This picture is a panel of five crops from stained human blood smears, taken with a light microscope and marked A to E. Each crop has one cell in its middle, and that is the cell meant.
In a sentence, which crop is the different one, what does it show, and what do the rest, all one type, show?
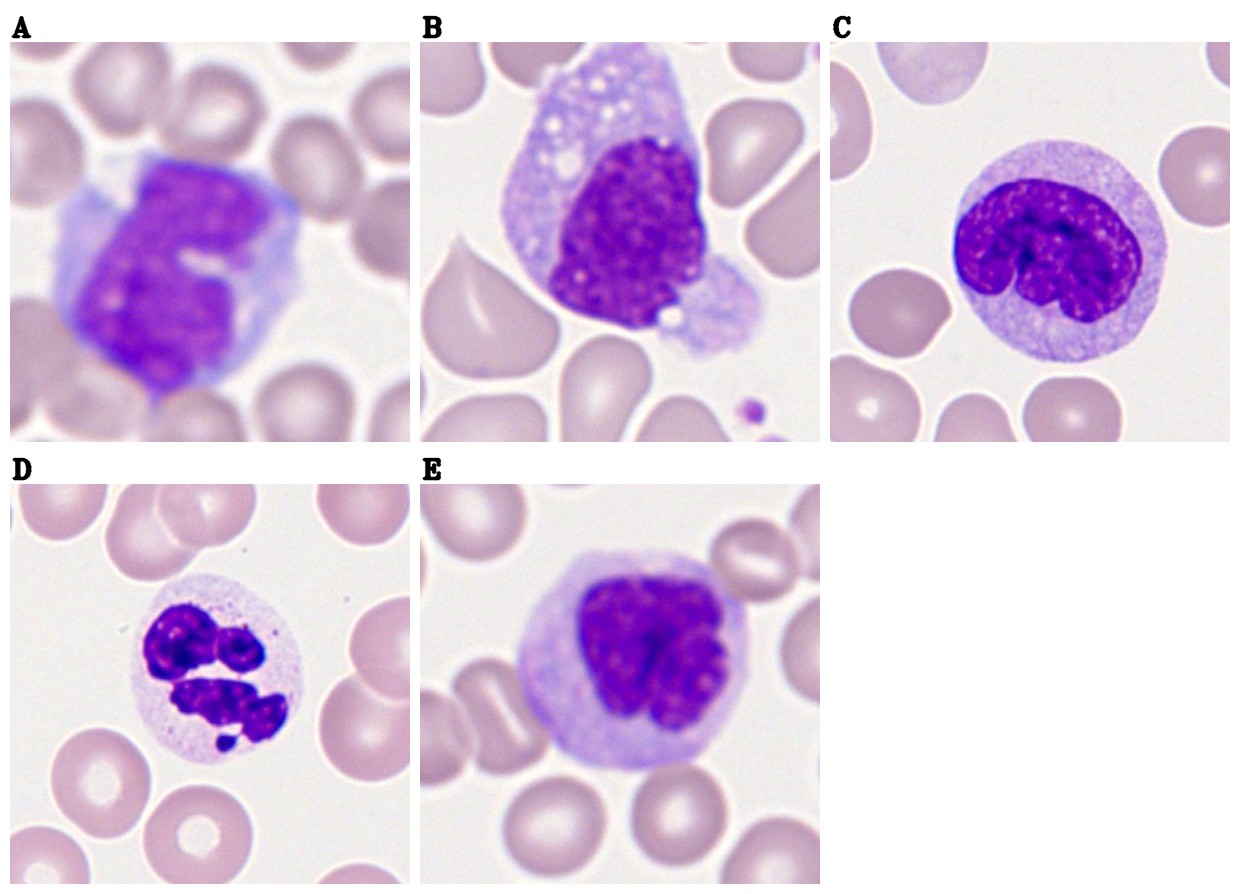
Crop D shows a segmented neutrophil, while all of the others show monocytes.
